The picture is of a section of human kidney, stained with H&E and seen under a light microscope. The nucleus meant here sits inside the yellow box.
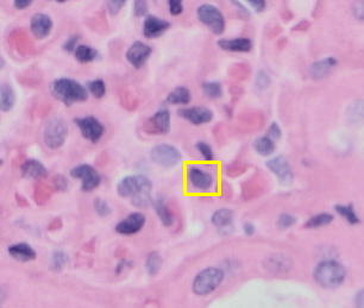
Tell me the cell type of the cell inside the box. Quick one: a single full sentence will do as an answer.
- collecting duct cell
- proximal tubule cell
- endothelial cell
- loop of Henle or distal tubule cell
The identity of the cell inside the box is that of an endothelial cell.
